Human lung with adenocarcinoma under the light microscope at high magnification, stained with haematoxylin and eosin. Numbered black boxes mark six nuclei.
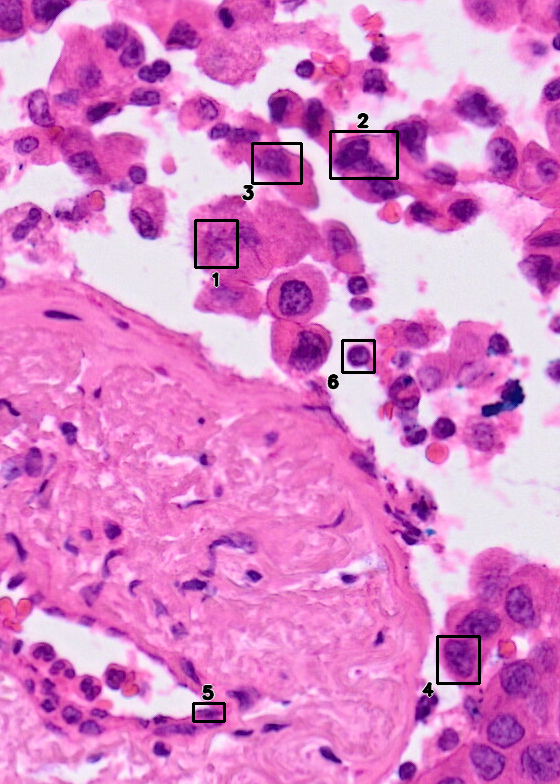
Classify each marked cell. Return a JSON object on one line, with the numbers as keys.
{"1": "carcinoma cell", "2": "carcinoma cell", "3": "carcinoma cell", "4": "carcinoma cell", "5": "endothelial cell", "6": "lymphocyte"}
